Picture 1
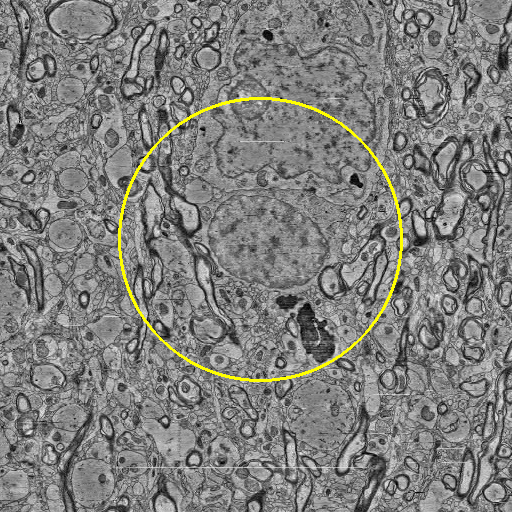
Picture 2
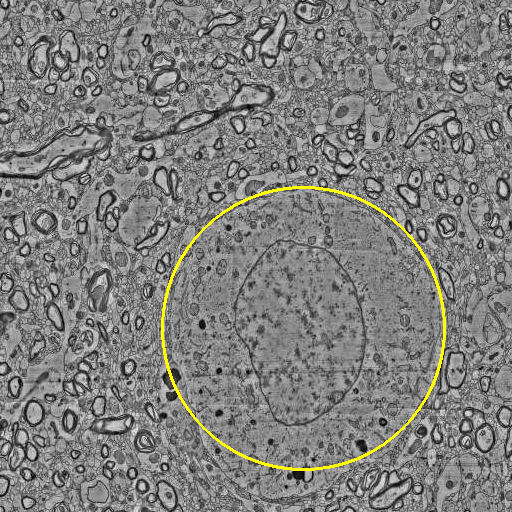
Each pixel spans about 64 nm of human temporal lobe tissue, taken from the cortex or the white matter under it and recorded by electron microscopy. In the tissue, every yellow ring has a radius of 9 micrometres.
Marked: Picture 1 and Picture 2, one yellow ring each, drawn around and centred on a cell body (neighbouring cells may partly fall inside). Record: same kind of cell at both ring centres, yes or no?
no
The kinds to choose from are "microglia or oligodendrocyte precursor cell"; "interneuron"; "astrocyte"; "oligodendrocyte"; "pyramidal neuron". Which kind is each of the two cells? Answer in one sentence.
Of the two, the first cell is an oligodendrocyte and the second cell is a pyramidal neuron.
